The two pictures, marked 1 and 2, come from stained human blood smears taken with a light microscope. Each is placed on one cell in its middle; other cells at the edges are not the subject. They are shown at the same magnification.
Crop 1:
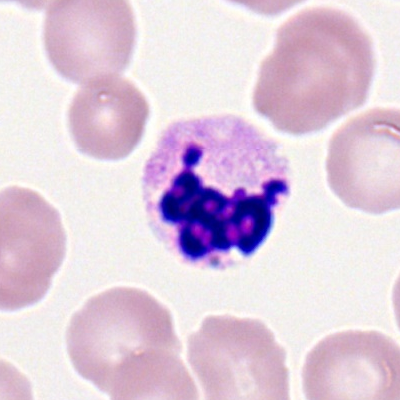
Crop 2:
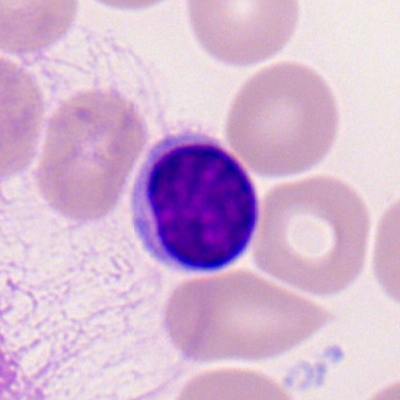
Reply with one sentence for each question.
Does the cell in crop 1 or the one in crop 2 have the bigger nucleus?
It is the nucleus in crop 2, about 1.5 times as large in area as the one in crop 1.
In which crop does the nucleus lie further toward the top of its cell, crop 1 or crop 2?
Seen within its cell, the nucleus in crop 2 lies further toward the top.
